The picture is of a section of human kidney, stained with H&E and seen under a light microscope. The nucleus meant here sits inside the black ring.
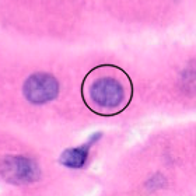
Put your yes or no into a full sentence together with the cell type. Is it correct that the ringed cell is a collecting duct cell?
No, scored properly, the ringed cell is a proximal tubule cell rather than a collecting duct cell.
